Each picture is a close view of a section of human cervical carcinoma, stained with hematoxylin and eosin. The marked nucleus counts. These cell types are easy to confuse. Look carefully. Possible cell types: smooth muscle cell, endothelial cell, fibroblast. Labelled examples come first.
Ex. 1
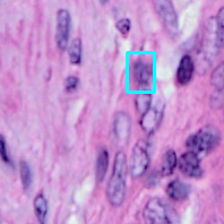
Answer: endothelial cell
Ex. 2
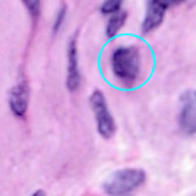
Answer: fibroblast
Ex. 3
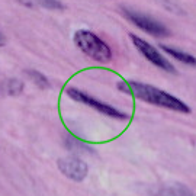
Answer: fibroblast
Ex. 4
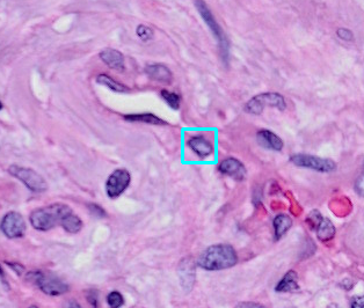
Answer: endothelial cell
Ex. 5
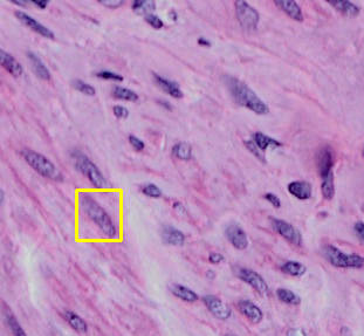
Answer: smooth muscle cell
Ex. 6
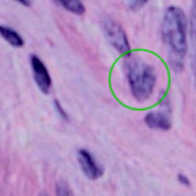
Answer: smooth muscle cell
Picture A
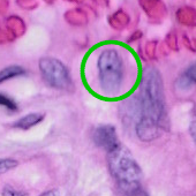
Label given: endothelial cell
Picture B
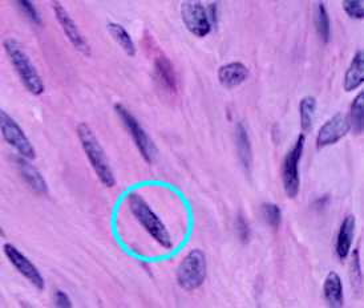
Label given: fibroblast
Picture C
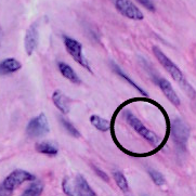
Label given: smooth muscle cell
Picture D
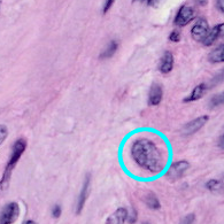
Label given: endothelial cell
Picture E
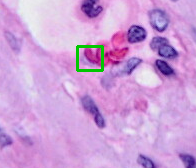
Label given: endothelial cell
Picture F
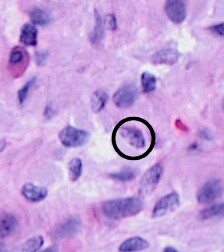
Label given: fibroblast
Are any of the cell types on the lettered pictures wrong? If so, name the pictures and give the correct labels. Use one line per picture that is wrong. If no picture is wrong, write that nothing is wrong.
D is labelled endothelial cell; correct label: smooth muscle cell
